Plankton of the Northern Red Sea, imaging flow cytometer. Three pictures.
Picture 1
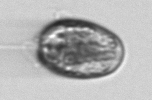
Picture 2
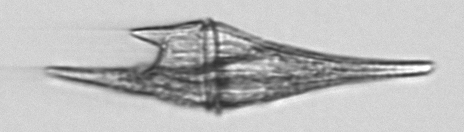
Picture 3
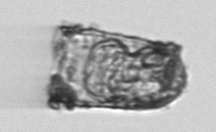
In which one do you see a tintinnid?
In picture 3.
